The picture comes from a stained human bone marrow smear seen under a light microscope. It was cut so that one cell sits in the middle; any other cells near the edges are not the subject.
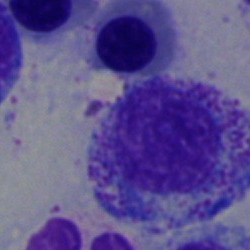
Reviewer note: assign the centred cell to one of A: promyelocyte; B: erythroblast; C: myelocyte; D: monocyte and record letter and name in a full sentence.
The centrally positioned cell is a myelocyte, consistent with option C, which is correct.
